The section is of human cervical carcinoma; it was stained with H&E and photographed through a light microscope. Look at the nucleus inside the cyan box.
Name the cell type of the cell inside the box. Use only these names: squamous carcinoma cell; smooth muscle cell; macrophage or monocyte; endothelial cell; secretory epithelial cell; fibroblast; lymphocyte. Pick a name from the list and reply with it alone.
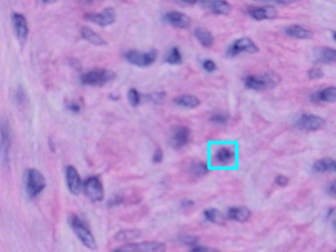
smooth muscle cell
